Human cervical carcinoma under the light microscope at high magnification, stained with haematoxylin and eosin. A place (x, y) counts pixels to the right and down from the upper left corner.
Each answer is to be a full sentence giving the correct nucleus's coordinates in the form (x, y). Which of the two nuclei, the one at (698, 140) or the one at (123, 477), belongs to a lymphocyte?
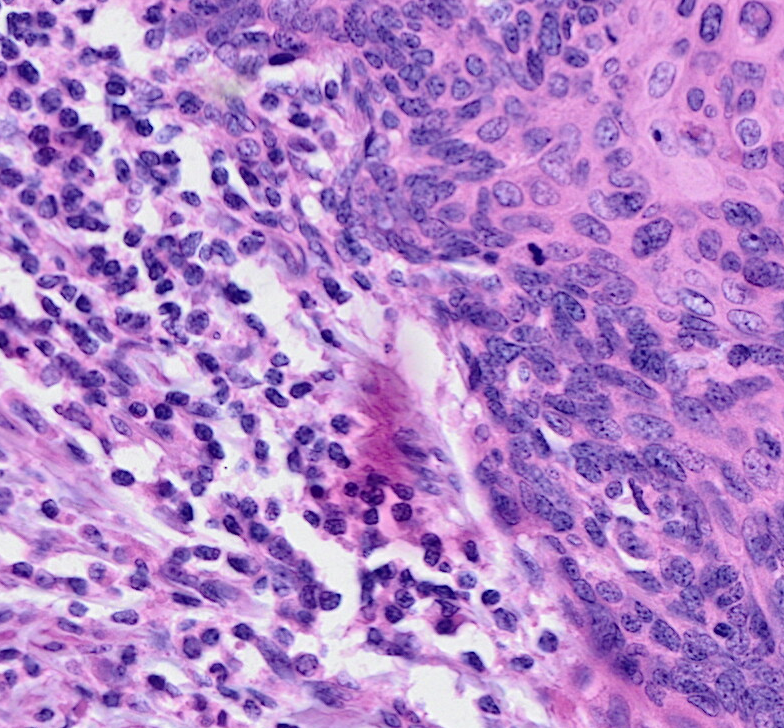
Housed in a lymphocyte is the nucleus at (123, 477), not the other one.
